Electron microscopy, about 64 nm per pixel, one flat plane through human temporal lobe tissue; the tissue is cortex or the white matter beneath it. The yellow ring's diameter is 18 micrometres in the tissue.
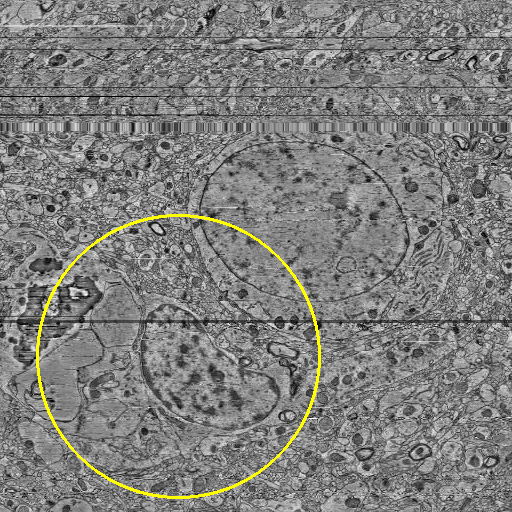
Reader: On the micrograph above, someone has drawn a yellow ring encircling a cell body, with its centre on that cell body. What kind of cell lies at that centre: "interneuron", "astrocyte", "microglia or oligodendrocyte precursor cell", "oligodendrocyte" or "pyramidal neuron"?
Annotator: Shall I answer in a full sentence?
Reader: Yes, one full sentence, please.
Here a microglial cell or oligodendrocyte precursor cell sits at the centre of the yellow ring drawn on the micrograph.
